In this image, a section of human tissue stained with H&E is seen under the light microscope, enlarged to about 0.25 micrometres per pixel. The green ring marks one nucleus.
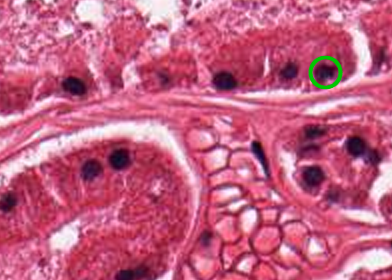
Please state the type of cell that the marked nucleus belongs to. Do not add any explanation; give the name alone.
proximal tubule cell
